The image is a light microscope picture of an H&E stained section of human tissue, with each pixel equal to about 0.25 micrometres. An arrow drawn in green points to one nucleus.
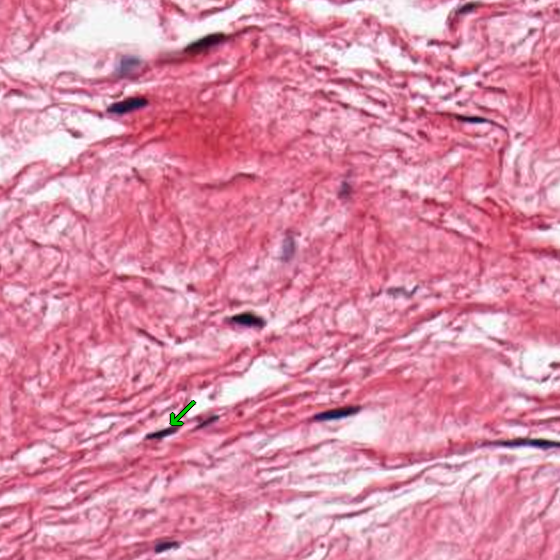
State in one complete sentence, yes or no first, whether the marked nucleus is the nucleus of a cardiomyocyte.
No, the marked nucleus belongs to a supporting cell, and a cardiomyocyte is not its owner.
